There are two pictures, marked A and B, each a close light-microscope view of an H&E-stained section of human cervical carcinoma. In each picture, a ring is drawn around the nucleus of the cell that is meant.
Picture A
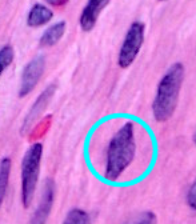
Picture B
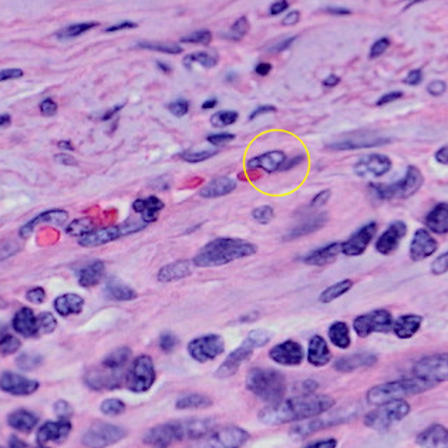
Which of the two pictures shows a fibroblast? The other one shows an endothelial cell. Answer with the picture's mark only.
A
